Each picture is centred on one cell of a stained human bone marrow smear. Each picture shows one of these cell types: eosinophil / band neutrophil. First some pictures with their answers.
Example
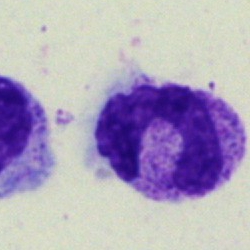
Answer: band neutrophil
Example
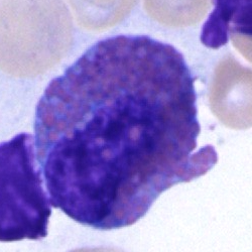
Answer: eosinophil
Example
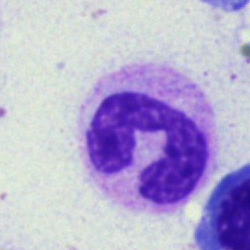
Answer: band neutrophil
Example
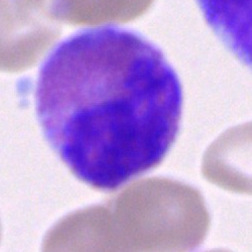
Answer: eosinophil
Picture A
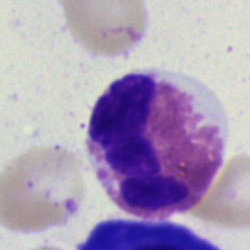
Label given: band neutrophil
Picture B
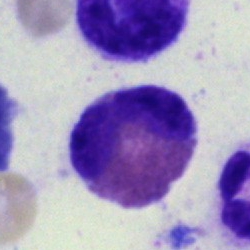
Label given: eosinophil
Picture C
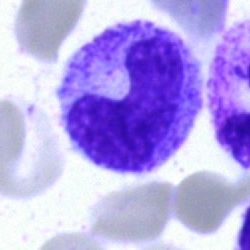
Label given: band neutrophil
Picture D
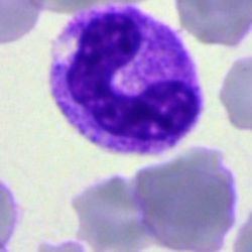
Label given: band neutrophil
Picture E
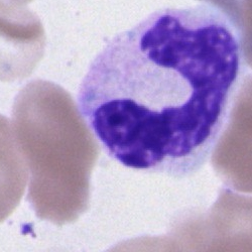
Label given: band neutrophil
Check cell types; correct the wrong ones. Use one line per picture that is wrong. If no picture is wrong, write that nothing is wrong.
A: eosinophil, not band neutrophil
